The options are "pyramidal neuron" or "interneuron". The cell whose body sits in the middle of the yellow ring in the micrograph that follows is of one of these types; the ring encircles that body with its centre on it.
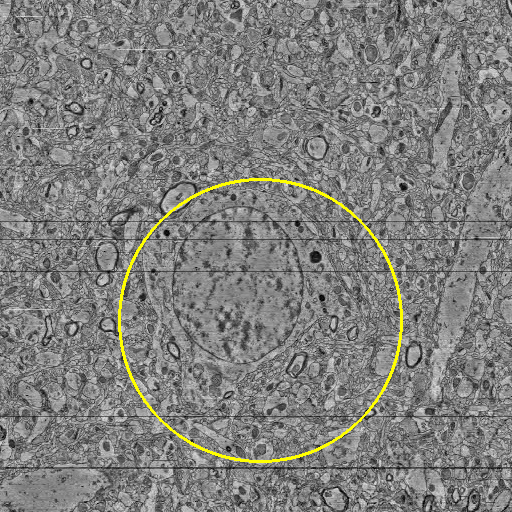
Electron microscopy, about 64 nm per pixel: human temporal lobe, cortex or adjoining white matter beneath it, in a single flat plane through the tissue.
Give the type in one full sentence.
Going by the micrograph, the cell centred in the yellow ring is a pyramidal neuron.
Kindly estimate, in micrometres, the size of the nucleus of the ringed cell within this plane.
In this plane the nucleus measures roughly 11 by 8 micrometres.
